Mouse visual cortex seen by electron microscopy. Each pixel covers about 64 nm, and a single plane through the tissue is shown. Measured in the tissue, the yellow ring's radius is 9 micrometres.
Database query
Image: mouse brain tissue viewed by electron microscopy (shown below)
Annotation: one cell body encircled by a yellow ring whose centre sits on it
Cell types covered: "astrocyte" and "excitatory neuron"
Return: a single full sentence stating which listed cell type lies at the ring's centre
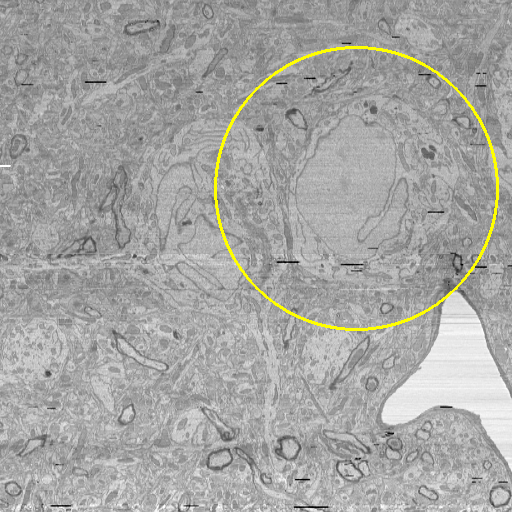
In the image, the cell lying at the ring's centre is an excitatory neuron.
